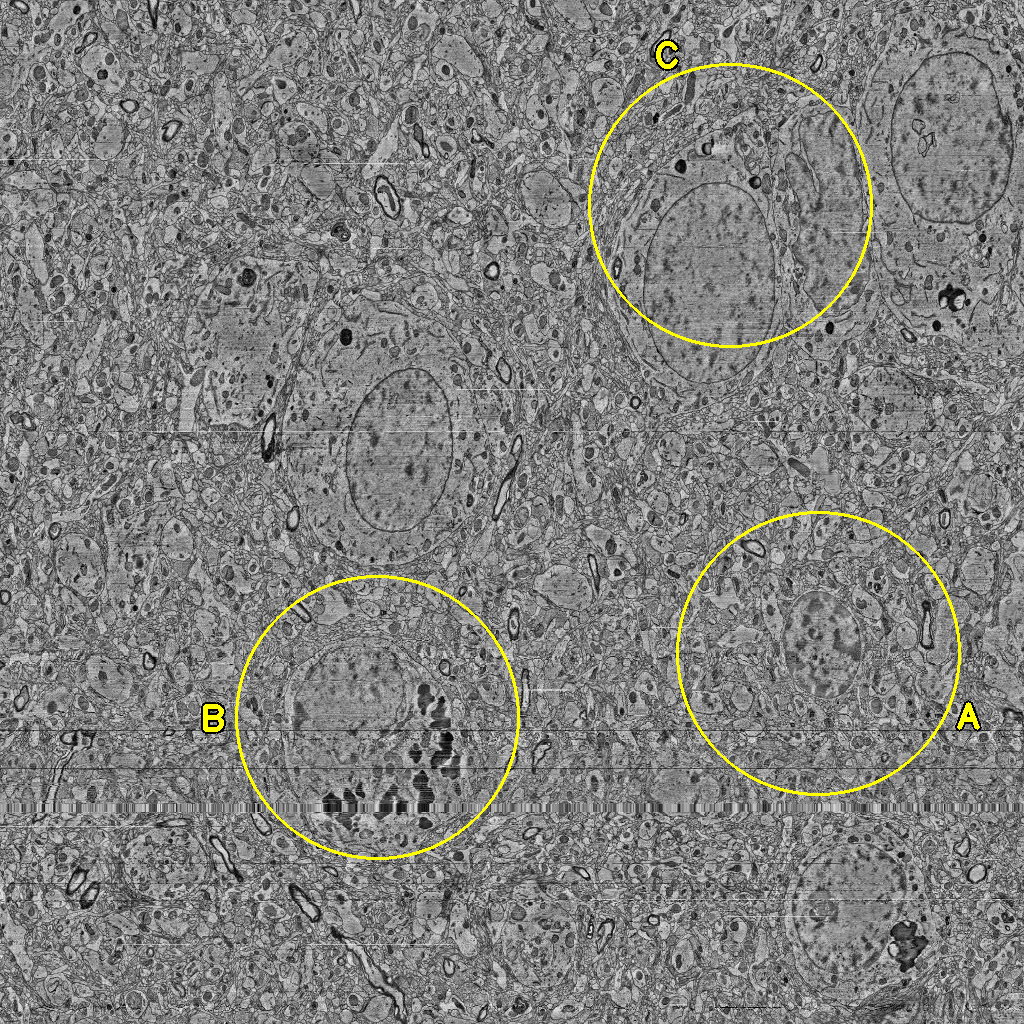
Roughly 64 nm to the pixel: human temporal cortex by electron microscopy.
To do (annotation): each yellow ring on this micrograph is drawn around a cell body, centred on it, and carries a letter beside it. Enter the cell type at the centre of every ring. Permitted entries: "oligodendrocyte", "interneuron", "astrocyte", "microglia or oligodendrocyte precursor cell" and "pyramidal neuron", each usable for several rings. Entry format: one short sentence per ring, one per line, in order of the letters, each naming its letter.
Ring A: the cell at its centre is a microglial cell or oligodendrocyte precursor cell.
Ring B: the cell at its centre is an interneuron.
Ring C: the cell at its centre is a pyramidal neuron.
